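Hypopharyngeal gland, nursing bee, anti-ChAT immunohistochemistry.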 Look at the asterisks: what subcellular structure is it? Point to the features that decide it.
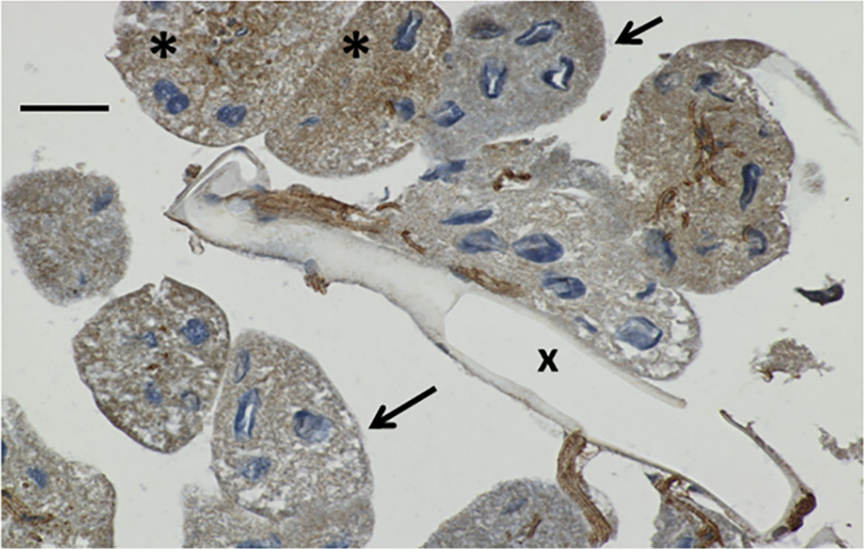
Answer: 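The asterisks lie on brown granular material between blue nuclei.
Conclusion: cytosol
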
